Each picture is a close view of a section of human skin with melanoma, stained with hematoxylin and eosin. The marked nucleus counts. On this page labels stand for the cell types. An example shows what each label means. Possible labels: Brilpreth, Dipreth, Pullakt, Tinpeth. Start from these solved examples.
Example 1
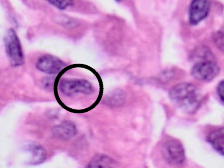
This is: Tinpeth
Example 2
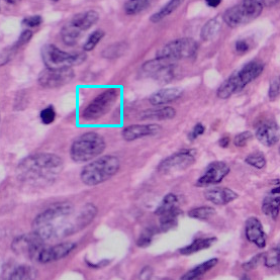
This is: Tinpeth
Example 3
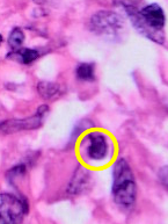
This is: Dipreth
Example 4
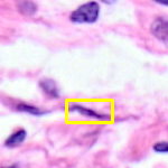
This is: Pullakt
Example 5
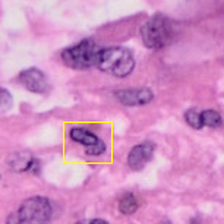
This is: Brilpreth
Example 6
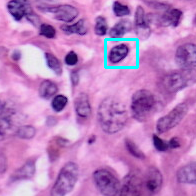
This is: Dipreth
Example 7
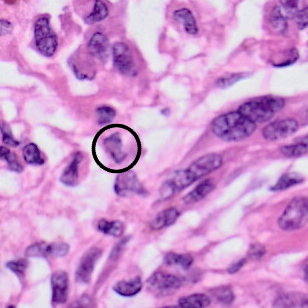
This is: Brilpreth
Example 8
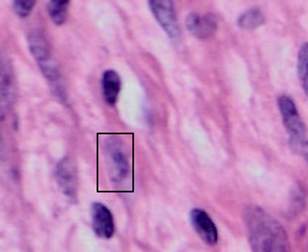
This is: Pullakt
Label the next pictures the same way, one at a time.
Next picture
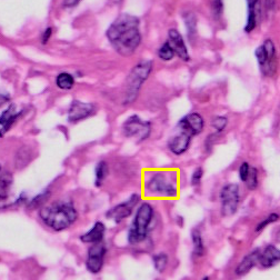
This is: Brilpreth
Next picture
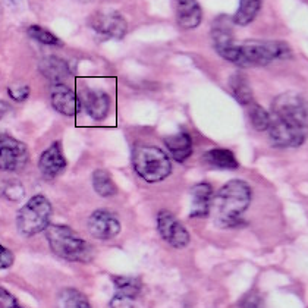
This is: Tinpeth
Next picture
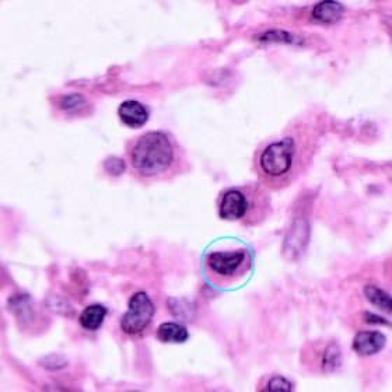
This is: Brilpreth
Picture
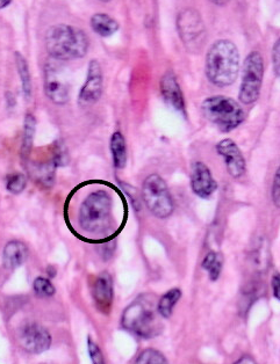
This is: Tinpeth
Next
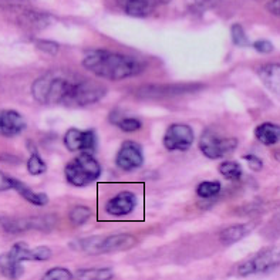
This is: Dipreth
